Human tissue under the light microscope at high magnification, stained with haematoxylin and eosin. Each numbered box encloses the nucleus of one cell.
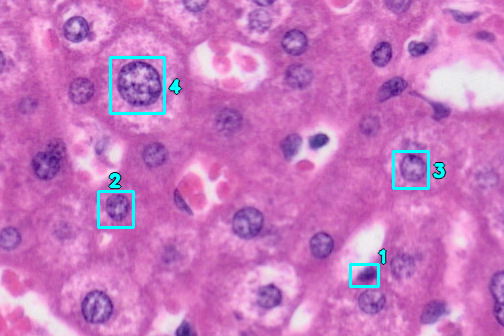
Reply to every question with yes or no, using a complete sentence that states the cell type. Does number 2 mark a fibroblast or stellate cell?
No, the cell that carries number 2 is a hepatocyte, not a fibroblast or stellate cell.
